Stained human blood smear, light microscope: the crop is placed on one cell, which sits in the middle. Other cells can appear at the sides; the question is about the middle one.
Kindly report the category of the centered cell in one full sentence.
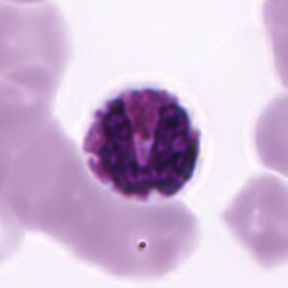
To answer, the cell in the center of the crop is an eosinophil.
